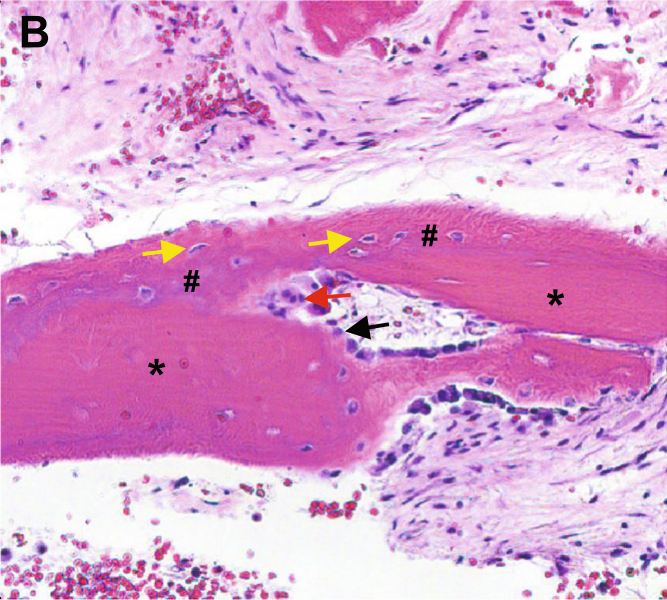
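The new bone is a slightly paler, purplish pink and holds many osteocytes, each a small dark nucleus sitting in its own clear lacuna. Along the edges of the bone, a single row of cells with dark nuclei lines the surface. These are osteoblasts laying down matrix. In a small space within the bone lies a cell with several clustered nuclei, an osteoclast. Around the bone is loose fibrous tissue with spindle-shaped cells, scattered red blood cells and small vessels.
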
